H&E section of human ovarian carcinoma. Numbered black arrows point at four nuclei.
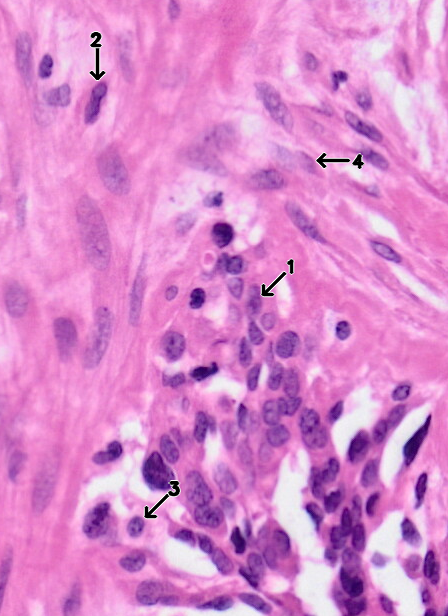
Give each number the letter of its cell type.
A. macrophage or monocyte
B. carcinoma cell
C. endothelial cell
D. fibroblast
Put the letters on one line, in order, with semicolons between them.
B; D; A; D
